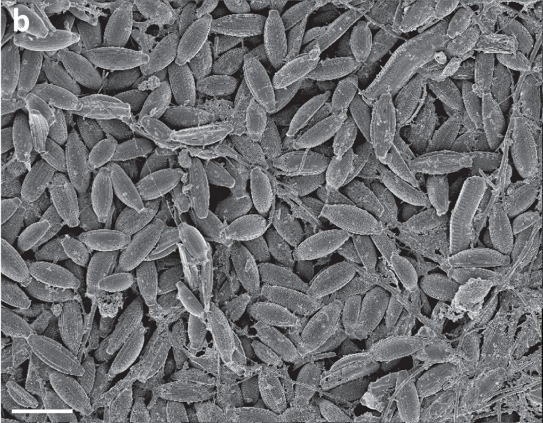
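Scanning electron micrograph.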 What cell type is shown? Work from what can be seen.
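Many elongate, boat-shaped cells packed densely side by side. The cell walls are rigid and ornamented with rows of pores.
Conclusion: diatoms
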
